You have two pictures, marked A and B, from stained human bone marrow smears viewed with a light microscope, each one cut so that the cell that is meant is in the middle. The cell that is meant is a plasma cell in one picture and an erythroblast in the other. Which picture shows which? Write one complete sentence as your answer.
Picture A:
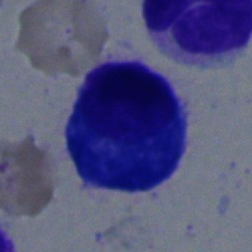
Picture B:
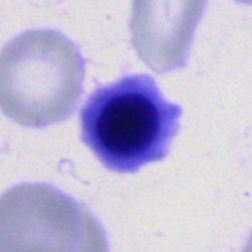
Picture A is of a plasma cell, and picture B is of an erythroblast.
